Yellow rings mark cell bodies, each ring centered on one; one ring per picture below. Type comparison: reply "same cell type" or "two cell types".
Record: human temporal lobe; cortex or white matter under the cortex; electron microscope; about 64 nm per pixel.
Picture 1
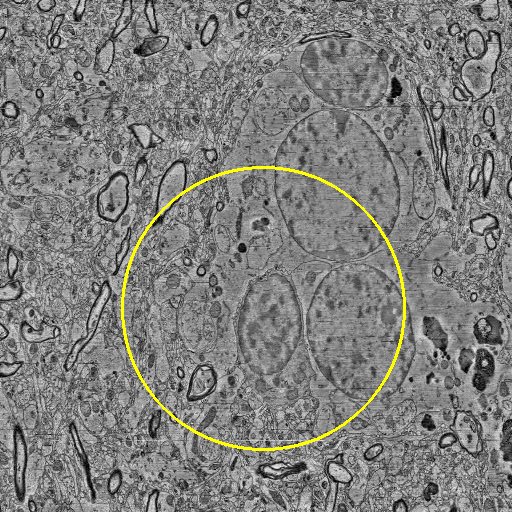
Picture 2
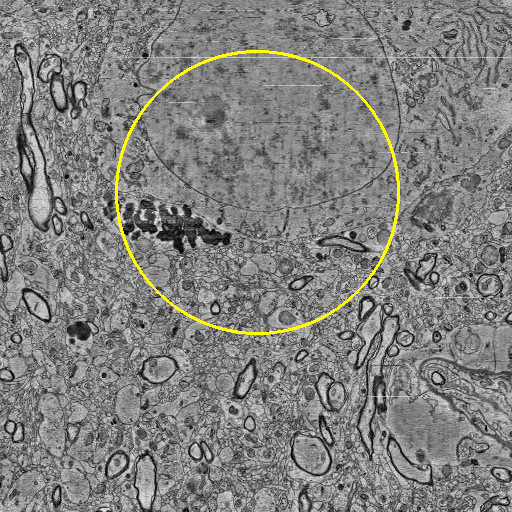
two cell types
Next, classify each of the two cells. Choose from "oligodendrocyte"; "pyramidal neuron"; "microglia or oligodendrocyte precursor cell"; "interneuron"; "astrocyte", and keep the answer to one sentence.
In the first picture it is an oligodendrocyte; in the second it is a pyramidal neuron.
